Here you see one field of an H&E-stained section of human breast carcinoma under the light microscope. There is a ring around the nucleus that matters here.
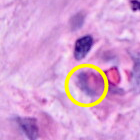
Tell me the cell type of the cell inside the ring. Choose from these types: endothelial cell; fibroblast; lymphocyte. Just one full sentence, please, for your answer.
In the stained section, the cell inside the ring is an endothelial cell.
